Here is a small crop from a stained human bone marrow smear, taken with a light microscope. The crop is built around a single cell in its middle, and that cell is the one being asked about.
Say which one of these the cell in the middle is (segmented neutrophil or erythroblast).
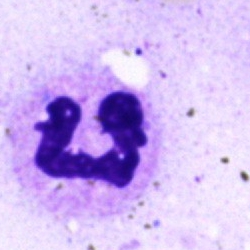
segmented neutrophil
